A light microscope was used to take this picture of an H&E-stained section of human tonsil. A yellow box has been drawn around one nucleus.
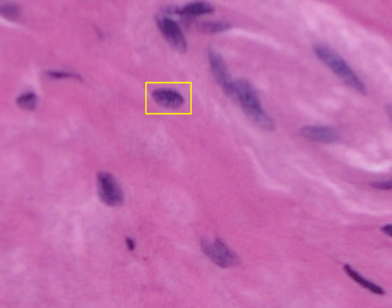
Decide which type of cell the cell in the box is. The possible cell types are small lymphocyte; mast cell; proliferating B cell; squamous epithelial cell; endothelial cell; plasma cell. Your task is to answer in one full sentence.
With respect to cell type, the cell in the box is a mast cell.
